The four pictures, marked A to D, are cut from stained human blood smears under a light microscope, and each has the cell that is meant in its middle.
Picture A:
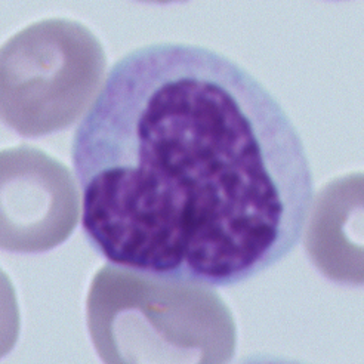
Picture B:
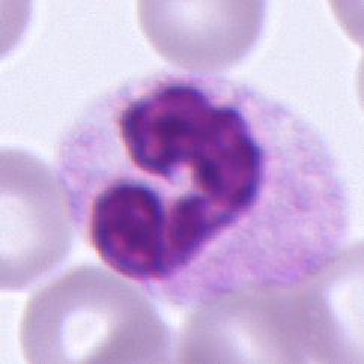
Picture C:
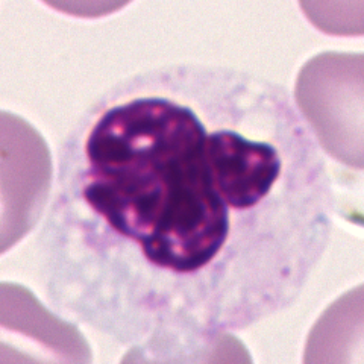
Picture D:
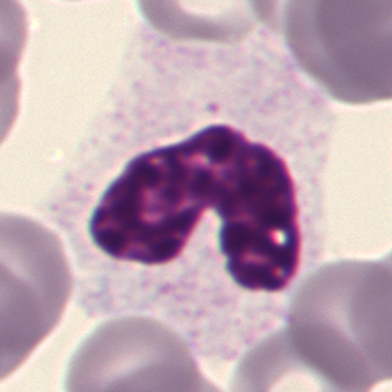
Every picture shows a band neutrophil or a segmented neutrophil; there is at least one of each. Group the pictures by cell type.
A: band neutrophil
B: segmented neutrophil
C: segmented neutrophil
D: band neutrophil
